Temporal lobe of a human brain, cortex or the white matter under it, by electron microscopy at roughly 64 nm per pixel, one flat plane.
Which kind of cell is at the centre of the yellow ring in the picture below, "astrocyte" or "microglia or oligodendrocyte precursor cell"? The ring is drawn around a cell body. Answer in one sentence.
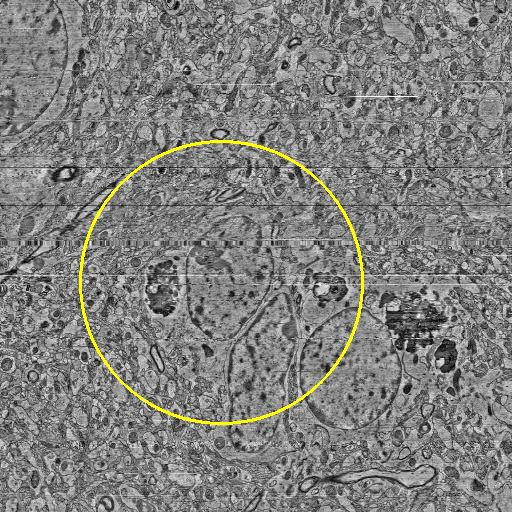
The ring's central cell is an astrocyte.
